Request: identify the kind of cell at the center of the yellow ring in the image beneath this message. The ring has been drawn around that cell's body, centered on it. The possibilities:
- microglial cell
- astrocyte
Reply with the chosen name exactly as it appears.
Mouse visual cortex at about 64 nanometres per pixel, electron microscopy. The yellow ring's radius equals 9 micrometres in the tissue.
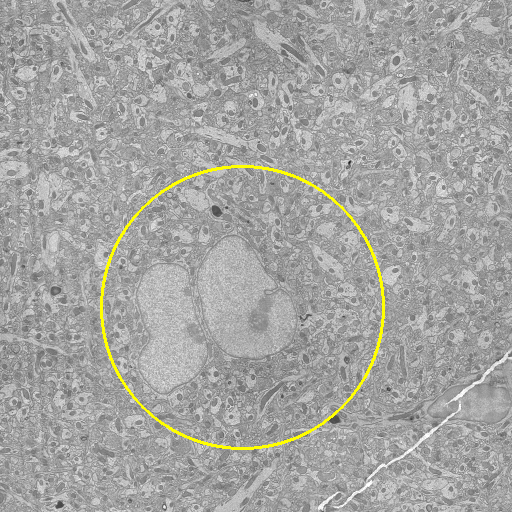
astrocyte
